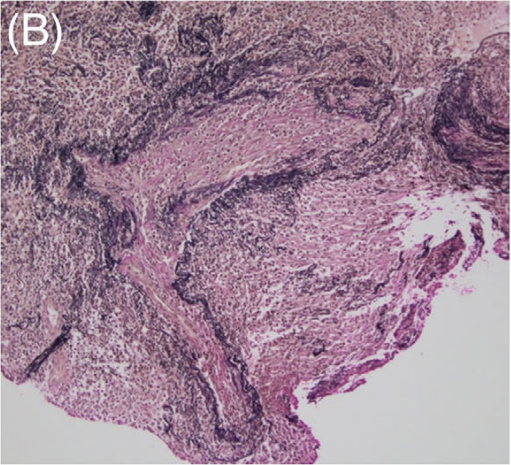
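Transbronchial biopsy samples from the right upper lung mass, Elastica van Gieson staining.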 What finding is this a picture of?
obliterative phlebitis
